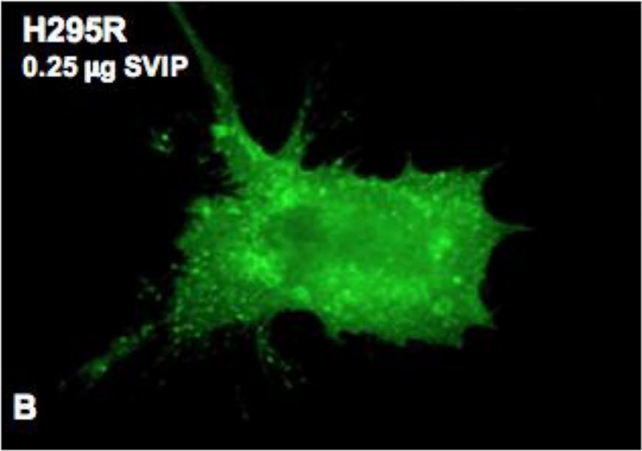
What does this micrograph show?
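The central region, where the nucleus lies, is somewhat darker than the surrounding cytoplasm. The cytoplasm shows green staining that is granular, with many small bright dots scattered across the cell body and extending out into the processes and along the margins. Around the cell the background is black, with a few isolated green dots lying just outside the cell edge.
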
